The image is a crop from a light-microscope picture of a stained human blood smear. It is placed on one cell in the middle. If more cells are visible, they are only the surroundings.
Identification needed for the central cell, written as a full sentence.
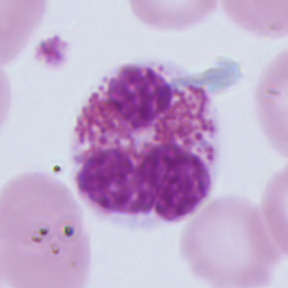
The cell shown in the center of this light-microscope crop is an eosinophil.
